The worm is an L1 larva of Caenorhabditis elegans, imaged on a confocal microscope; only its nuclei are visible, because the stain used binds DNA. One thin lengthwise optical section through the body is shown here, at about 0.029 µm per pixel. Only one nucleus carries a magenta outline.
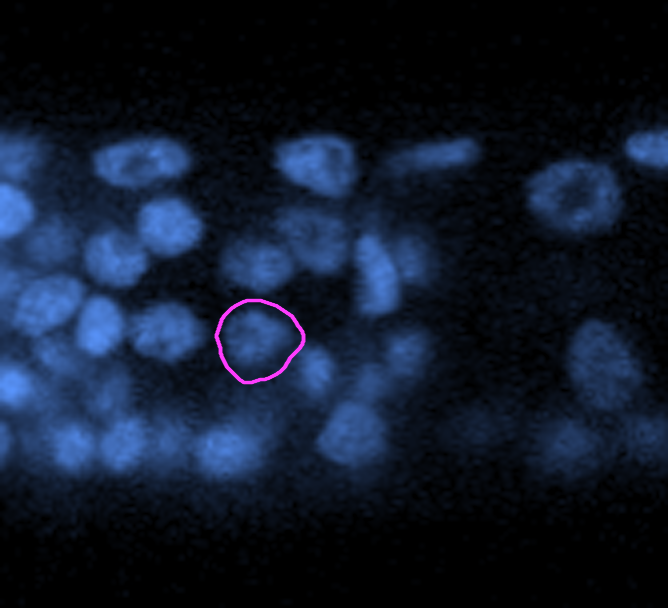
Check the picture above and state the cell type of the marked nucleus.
pharyngeal muscle cell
